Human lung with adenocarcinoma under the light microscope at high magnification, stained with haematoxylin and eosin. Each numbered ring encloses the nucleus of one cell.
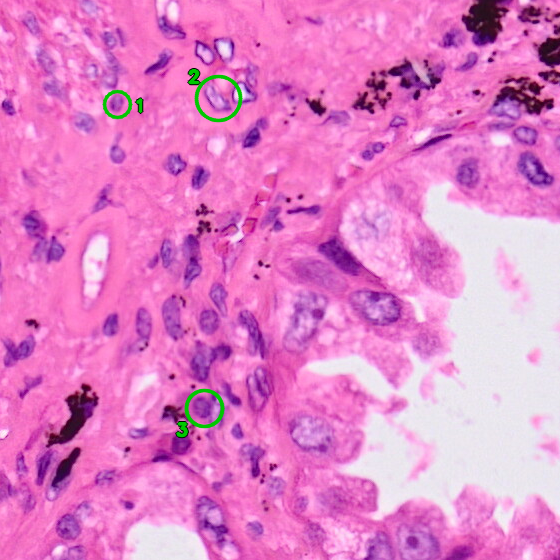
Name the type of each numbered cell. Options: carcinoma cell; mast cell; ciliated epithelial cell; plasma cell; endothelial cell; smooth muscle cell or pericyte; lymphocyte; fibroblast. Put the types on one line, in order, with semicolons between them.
mast cell; endothelial cell; plasma cell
